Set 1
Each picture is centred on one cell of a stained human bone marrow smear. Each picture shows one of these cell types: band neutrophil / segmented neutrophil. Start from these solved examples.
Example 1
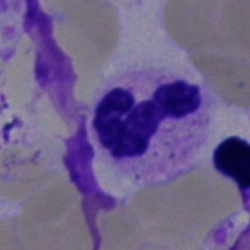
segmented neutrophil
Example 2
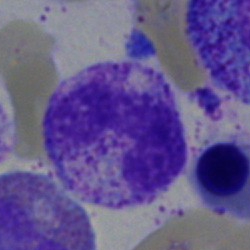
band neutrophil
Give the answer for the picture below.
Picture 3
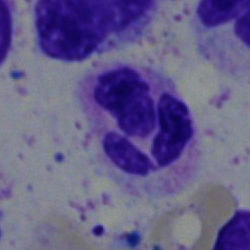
segmented neutrophil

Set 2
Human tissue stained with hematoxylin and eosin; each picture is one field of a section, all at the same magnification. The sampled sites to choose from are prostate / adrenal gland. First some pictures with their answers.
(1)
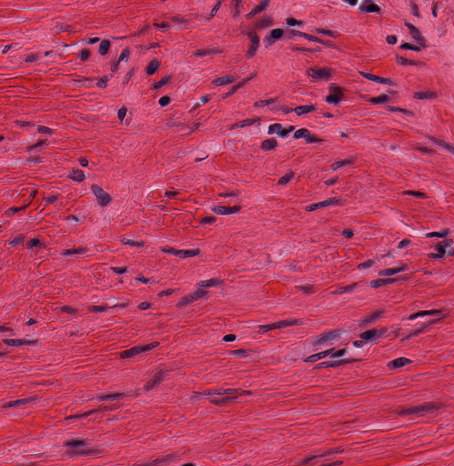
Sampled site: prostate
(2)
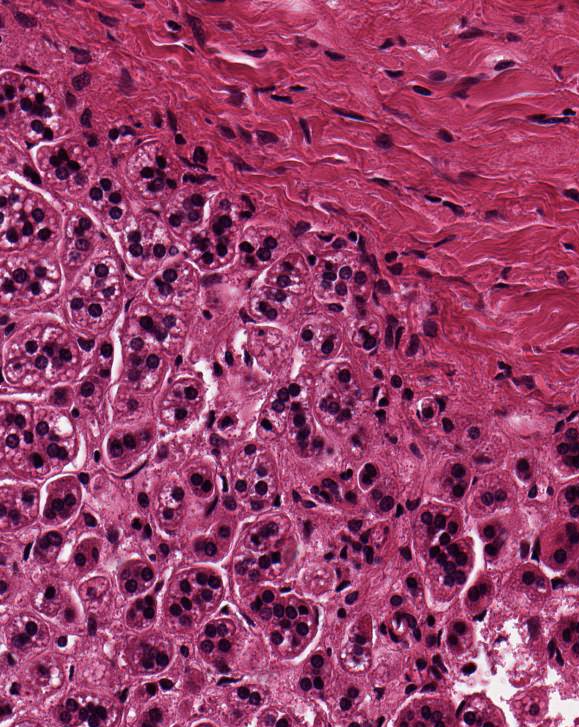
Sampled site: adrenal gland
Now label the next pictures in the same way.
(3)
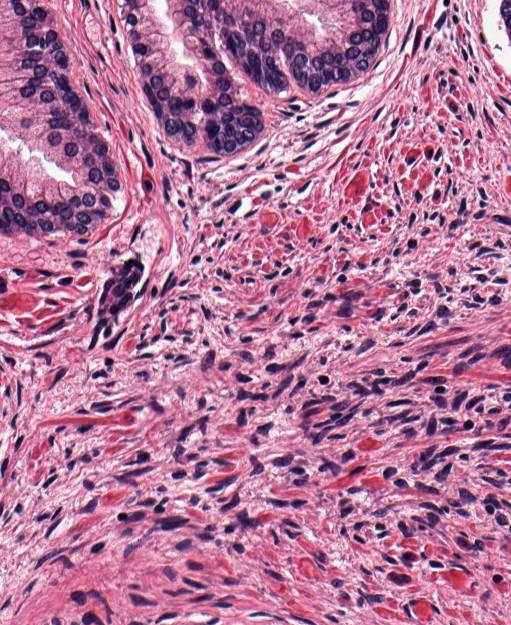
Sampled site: prostate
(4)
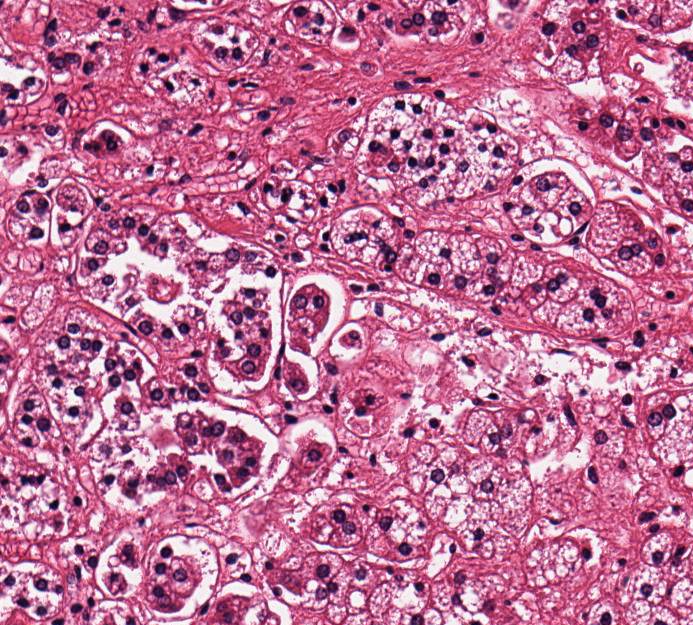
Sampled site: adrenal gland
